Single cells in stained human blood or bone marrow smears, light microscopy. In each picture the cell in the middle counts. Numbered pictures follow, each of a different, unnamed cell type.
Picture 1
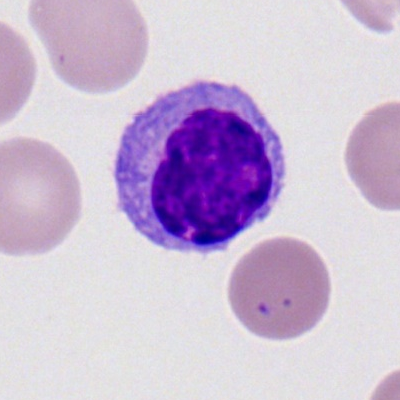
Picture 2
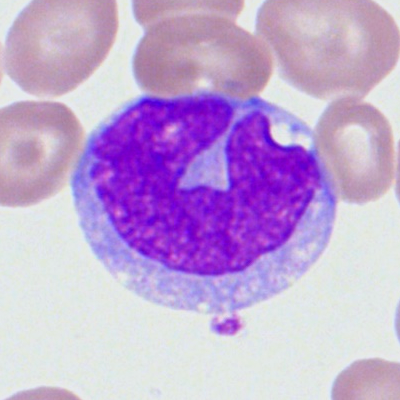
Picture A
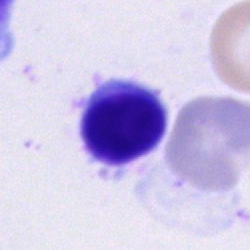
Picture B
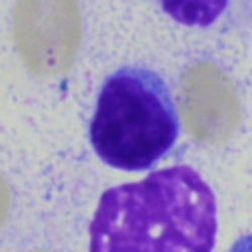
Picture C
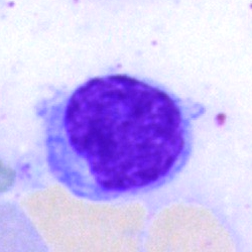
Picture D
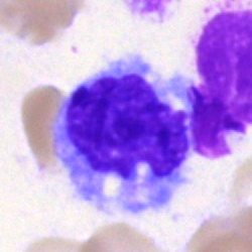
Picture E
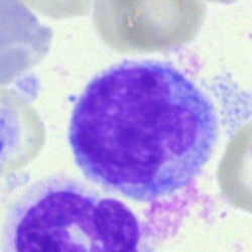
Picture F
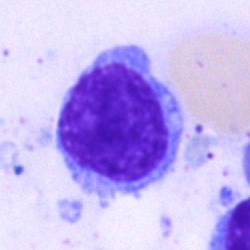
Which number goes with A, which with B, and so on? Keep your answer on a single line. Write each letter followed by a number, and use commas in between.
A 1, B 1, C 1, D 2, E 2, F 1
